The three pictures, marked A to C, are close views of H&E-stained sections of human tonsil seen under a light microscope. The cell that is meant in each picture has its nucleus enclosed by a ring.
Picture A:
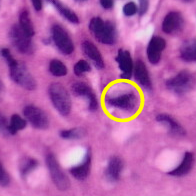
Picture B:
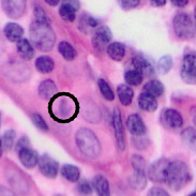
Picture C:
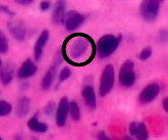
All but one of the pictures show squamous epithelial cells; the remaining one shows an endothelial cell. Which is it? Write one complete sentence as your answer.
The cell in picture B is the endothelial cell.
